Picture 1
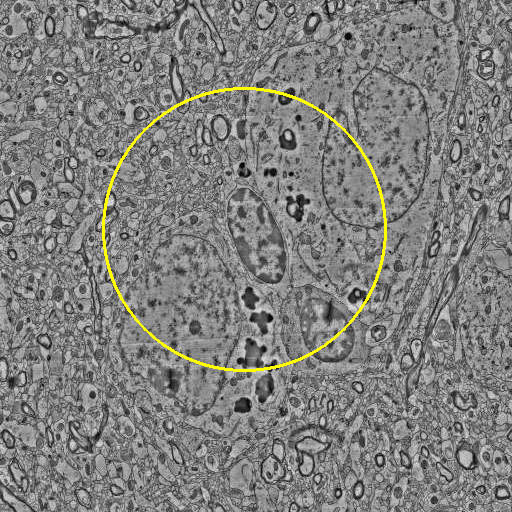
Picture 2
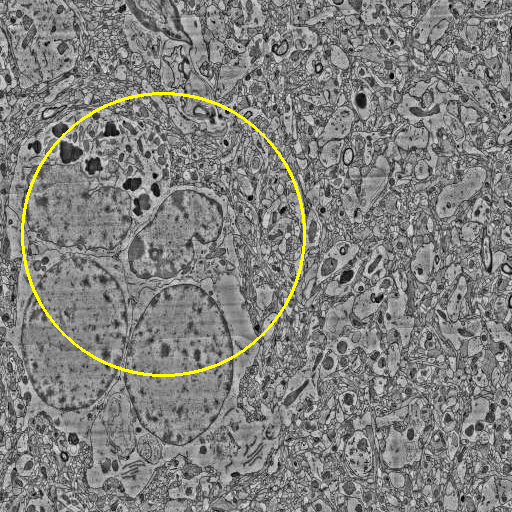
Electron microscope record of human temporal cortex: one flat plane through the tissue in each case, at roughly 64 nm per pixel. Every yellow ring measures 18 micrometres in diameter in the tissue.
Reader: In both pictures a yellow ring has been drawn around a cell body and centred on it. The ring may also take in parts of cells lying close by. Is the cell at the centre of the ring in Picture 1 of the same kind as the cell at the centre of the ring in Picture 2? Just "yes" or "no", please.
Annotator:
yes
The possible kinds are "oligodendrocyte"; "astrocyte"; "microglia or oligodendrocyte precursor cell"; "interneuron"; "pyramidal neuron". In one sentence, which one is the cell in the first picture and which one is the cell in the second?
In the first picture and in the second, the ring is centred on a microglial cell or oligodendrocyte precursor cell.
